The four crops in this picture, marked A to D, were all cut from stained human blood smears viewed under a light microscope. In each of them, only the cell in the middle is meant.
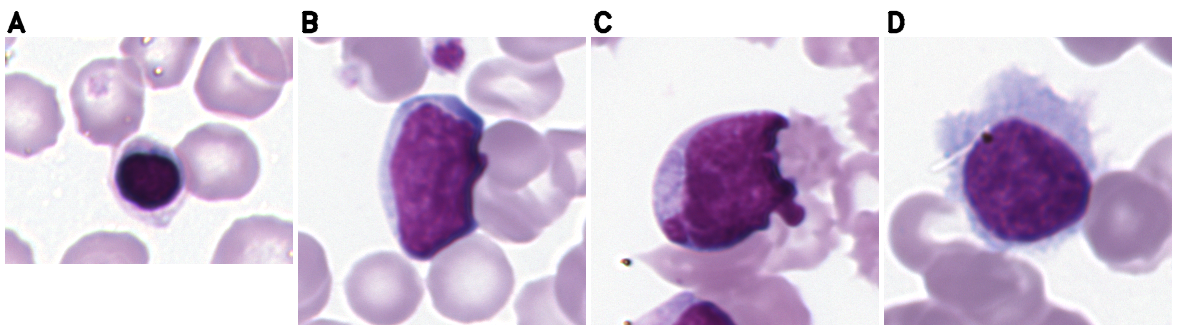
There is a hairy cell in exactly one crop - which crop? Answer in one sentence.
Crop D is the right one; it is the crop showing a hairy cell.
